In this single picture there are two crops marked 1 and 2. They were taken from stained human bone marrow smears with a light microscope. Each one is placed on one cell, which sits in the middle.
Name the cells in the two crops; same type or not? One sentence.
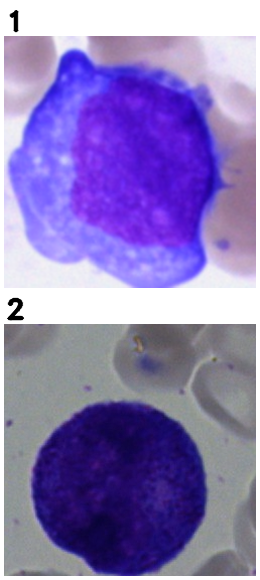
No, crop 1 contains a blast, whereas crop 2 contains a promyelocyte.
